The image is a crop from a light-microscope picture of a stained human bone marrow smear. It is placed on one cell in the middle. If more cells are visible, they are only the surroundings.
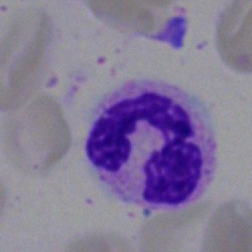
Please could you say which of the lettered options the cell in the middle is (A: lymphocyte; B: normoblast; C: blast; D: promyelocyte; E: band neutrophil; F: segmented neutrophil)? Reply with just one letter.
F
